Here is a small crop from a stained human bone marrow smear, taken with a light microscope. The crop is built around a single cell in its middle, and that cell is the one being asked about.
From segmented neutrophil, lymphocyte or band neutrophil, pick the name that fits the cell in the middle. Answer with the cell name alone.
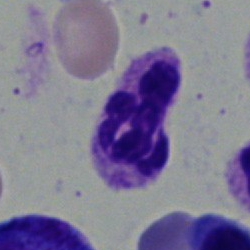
segmented neutrophil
